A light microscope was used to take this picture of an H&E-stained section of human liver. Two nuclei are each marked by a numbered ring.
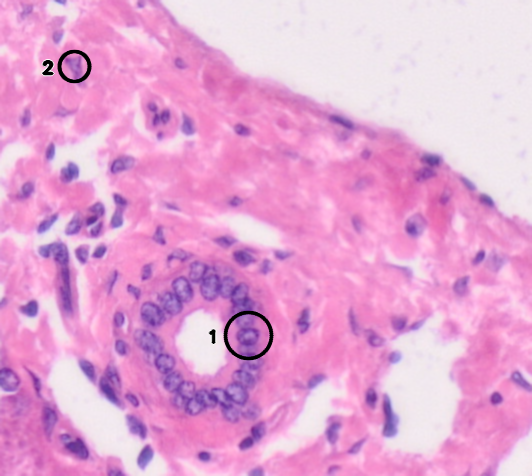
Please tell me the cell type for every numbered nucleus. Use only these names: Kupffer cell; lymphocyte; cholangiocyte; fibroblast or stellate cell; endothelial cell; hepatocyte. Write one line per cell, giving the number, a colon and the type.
1: cholangiocyte
2: fibroblast or stellate cell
